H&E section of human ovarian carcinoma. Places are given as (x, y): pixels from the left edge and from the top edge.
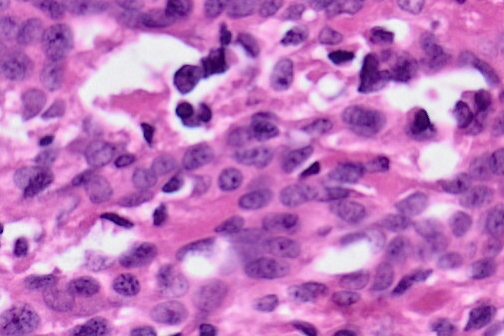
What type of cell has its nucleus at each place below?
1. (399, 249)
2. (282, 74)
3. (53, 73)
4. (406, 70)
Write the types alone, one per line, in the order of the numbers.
carcinoma cell
macrophage or monocyte
carcinoma cell
carcinoma cell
